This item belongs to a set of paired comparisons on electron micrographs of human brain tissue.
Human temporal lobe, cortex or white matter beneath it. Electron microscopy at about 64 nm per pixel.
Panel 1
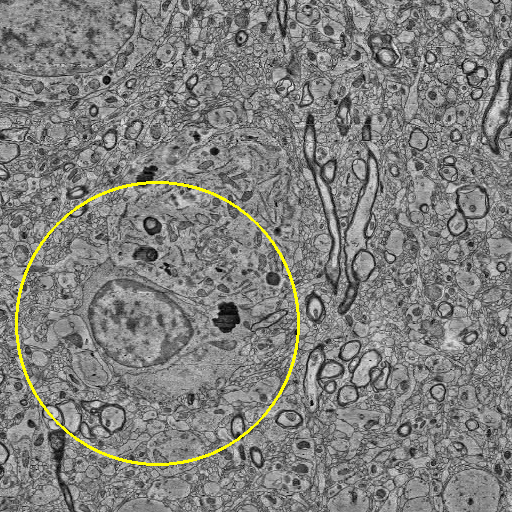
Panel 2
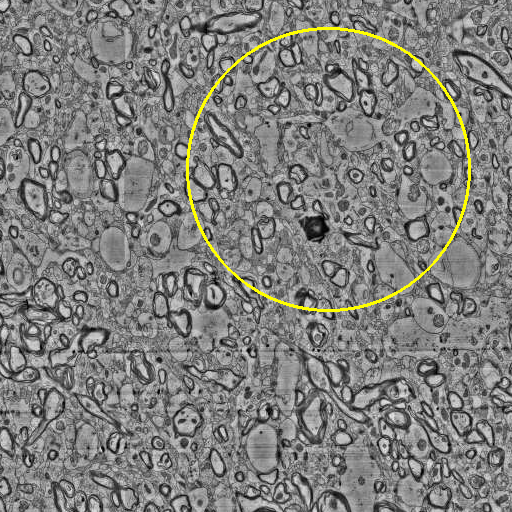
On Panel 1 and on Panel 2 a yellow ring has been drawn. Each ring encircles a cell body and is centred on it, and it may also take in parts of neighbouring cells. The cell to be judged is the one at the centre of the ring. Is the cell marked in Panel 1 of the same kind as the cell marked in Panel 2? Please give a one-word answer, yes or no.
no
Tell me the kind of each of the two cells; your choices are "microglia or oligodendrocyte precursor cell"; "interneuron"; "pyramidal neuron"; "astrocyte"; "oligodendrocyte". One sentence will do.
The ringed cell is an oligodendrocyte in the first picture and a microglial cell or oligodendrocyte precursor cell in the second picture.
